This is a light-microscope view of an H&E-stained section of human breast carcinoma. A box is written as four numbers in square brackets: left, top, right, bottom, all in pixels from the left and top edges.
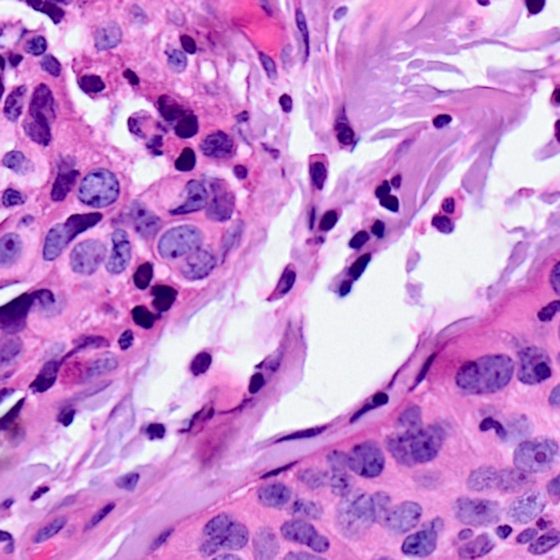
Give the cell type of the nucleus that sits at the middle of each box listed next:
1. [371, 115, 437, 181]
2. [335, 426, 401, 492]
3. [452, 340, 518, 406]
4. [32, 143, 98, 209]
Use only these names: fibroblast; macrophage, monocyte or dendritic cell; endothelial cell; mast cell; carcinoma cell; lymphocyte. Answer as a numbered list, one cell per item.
1. fibroblast
2. carcinoma cell
3. carcinoma cell
4. carcinoma cell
